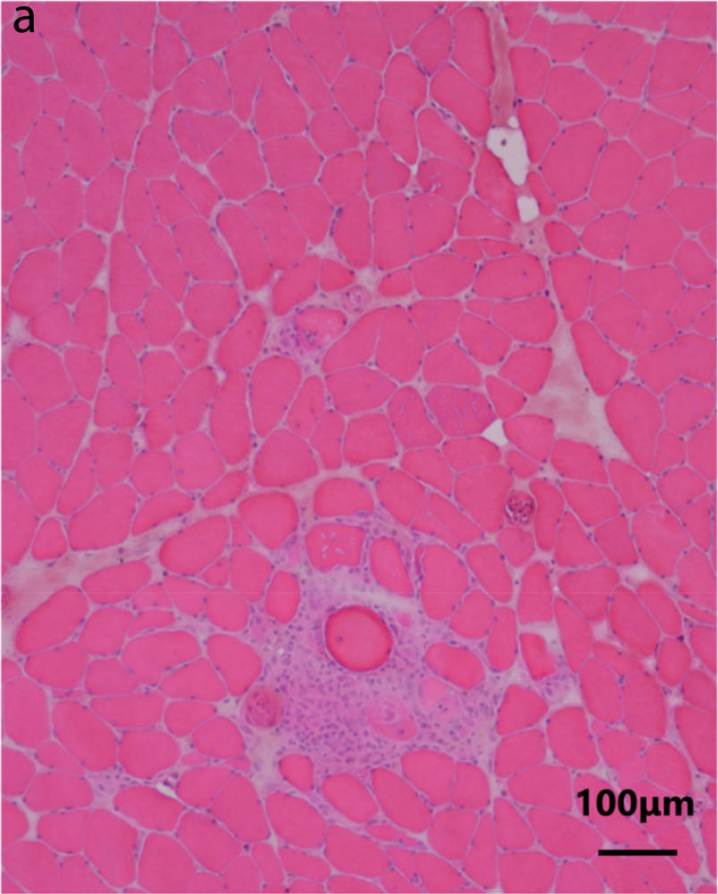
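This is a cross-section of skeletal muscle, with polygonal pink muscle fibers of somewhat varying size and small nuclei at their edges. In the lower center a dense cluster of small mononuclear cells fills the spaces between fibers, surrounding some rounded or pale, abnormal-looking fibers.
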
